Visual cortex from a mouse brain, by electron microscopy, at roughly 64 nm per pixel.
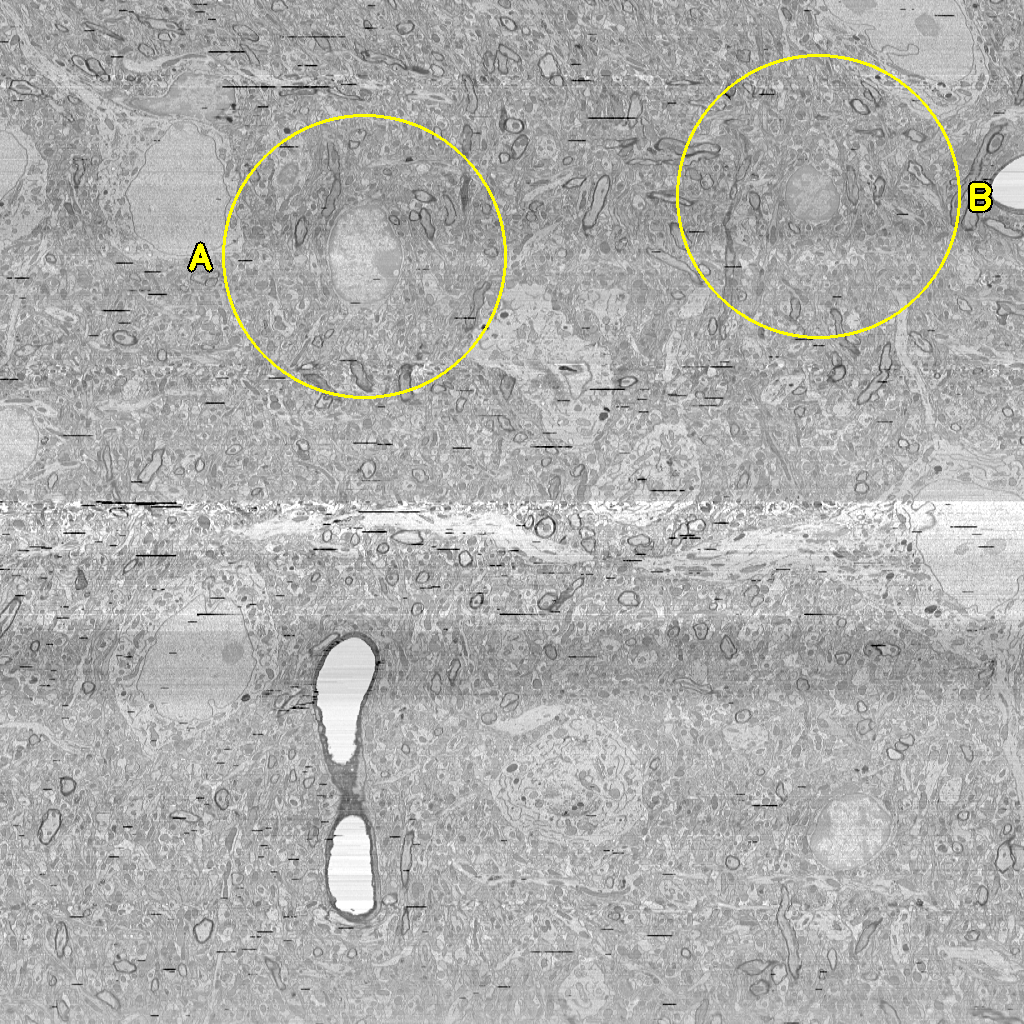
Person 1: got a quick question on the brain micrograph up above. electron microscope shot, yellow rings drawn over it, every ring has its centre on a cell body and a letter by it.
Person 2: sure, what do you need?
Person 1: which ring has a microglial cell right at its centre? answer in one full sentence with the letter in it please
In that picture, ring B is centred on the cell asked for.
